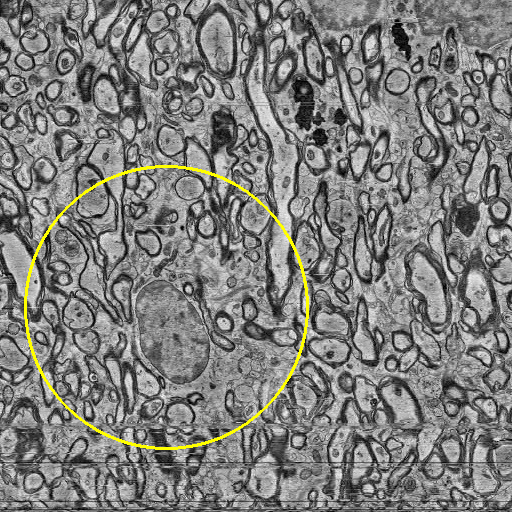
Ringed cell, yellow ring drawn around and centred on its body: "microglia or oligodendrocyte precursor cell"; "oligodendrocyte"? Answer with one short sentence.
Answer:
This ringed cell is a microglial cell or oligodendrocyte precursor cell.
